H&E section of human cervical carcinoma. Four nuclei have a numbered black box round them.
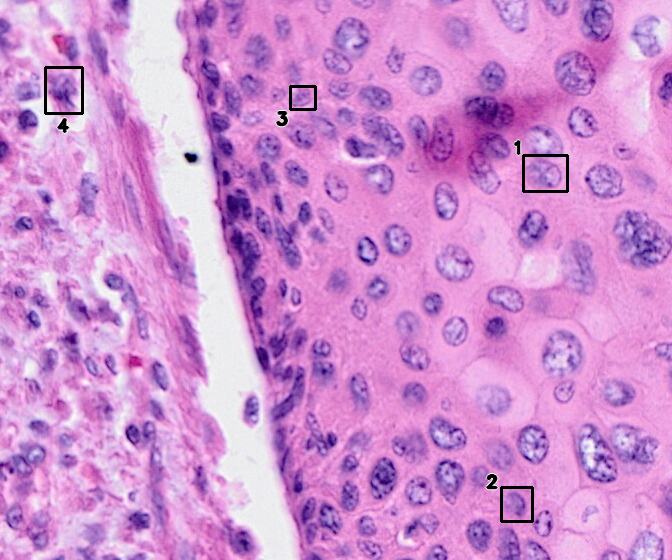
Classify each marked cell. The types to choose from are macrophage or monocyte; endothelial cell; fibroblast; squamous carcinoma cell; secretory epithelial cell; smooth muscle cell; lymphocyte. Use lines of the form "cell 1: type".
cell 1: squamous carcinoma cell
cell 2: squamous carcinoma cell
cell 3: squamous carcinoma cell
cell 4: macrophage or monocyte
